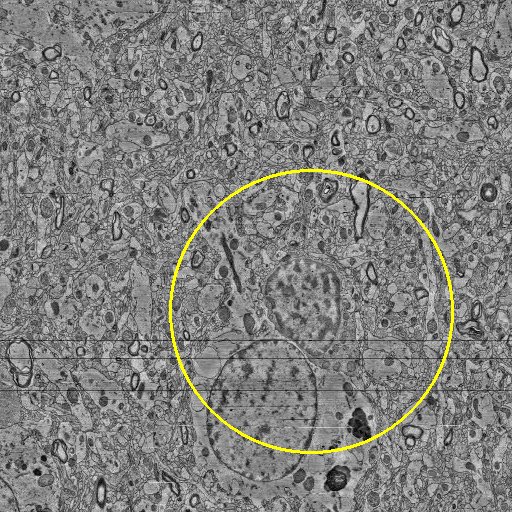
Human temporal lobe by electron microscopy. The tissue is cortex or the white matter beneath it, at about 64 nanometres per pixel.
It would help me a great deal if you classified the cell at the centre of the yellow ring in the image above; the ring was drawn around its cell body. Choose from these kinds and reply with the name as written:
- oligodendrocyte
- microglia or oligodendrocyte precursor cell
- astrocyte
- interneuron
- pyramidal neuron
microglia or oligodendrocyte precursor cell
